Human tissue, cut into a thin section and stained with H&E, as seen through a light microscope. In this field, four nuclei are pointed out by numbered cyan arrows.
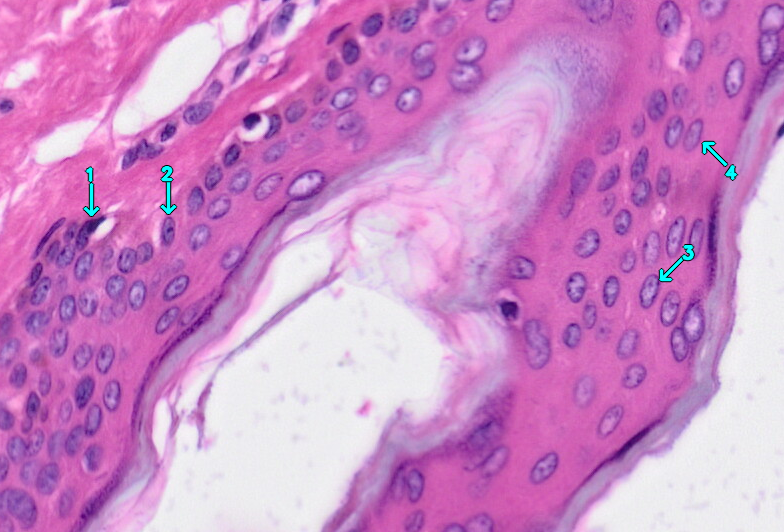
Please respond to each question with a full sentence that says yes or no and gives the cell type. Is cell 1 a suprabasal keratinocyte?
No, cell 1 is not a suprabasal keratinocyte, but is instead a basal keratinocyte.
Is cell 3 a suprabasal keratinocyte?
Yes, on this slide, the cell with number 3 is a suprabasal keratinocyte.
